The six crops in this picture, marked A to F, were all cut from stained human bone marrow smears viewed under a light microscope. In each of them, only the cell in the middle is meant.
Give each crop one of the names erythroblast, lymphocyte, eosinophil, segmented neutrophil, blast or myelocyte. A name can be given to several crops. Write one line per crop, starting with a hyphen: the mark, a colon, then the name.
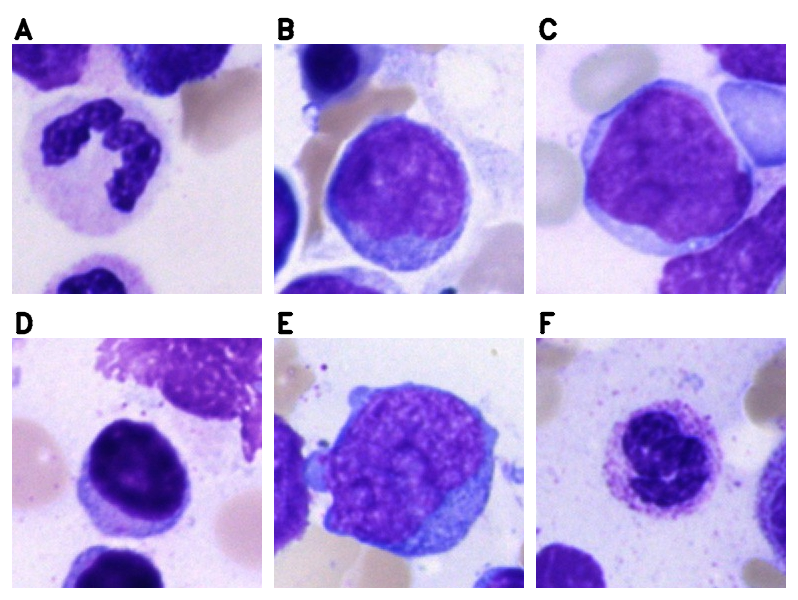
- A: segmented neutrophil
- B: blast
- C: blast
- D: lymphocyte
- E: blast
- F: segmented neutrophil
